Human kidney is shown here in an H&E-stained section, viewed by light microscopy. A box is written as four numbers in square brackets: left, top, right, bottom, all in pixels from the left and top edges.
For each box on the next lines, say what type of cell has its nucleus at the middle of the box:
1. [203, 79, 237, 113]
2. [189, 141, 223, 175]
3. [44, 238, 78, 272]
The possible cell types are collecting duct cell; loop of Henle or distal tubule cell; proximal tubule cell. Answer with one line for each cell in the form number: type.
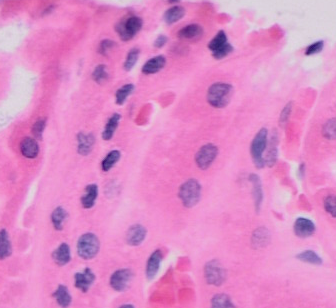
1: proximal tubule cell
2: proximal tubule cell
3: loop of Henle or distal tubule cell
